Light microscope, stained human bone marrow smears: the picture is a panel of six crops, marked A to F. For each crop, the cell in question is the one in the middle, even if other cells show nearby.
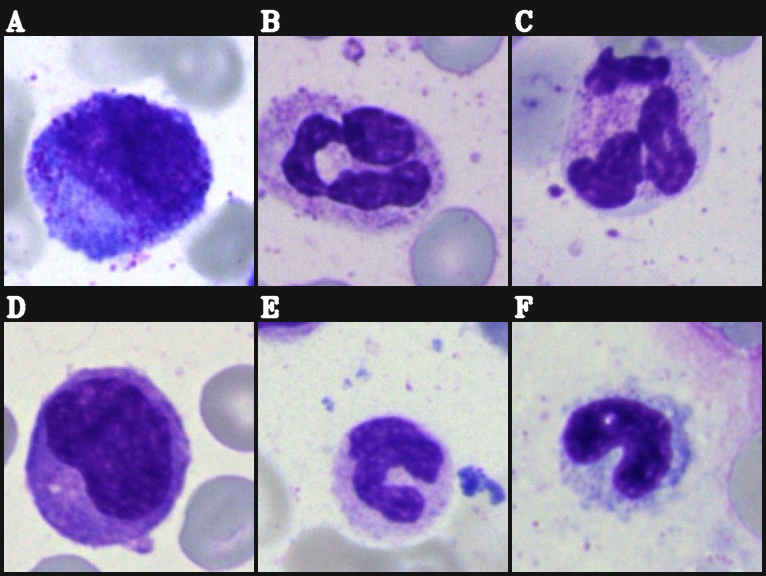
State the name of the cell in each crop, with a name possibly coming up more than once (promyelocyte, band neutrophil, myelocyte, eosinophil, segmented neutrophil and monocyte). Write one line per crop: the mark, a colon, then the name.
A: promyelocyte
B: segmented neutrophil
C: segmented neutrophil
D: monocyte
E: band neutrophil
F: band neutrophil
